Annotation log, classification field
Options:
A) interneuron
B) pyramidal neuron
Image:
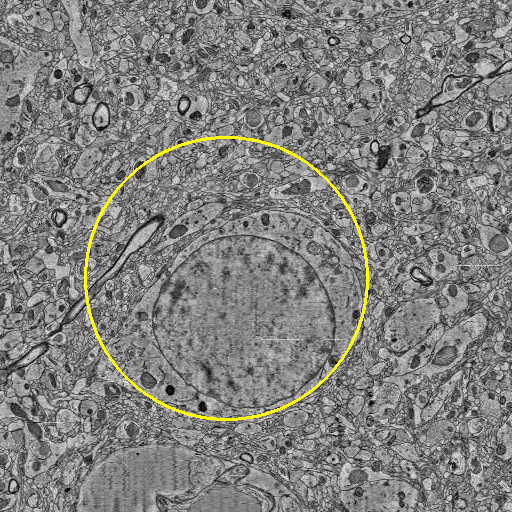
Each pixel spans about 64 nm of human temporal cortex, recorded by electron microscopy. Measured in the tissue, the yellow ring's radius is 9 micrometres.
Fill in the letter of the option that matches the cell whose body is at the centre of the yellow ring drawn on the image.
B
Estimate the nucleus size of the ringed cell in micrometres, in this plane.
The ringed cell's nucleus is about 12 micrometres across in this plane.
